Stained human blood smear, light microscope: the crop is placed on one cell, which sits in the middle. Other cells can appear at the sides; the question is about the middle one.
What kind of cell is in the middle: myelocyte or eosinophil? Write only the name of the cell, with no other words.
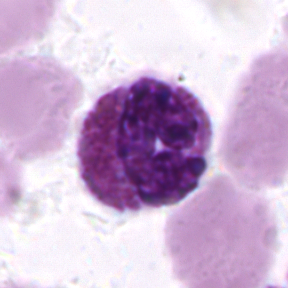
eosinophil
